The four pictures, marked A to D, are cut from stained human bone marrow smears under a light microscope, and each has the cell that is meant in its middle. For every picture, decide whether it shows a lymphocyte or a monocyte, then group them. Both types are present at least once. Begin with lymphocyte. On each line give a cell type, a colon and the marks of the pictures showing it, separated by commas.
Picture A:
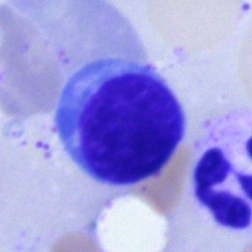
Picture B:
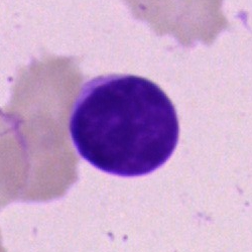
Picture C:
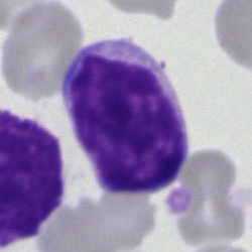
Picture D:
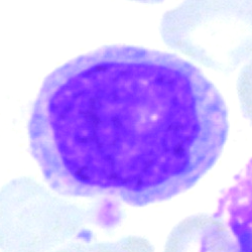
lymphocyte: A, B, C
monocyte: D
